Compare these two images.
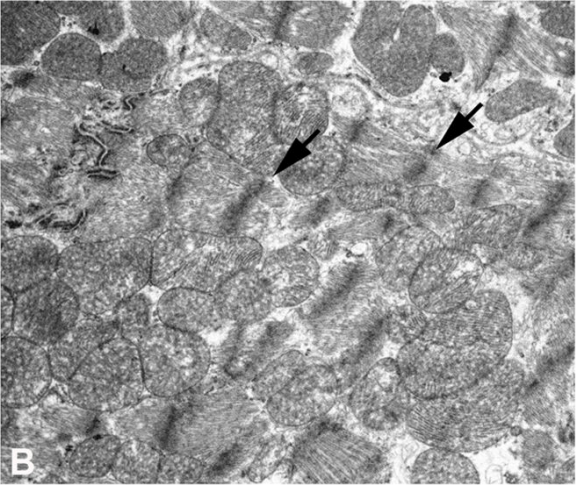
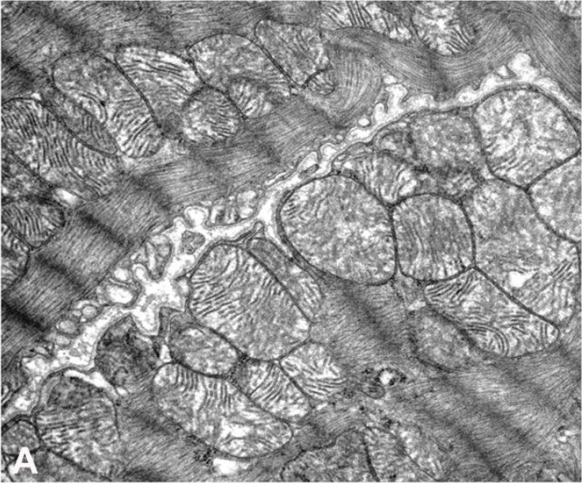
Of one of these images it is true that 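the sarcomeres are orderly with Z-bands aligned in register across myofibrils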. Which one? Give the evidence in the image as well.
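The second image. First image: short dark Z-bands lie scattered among masses of mitochondria, without continuous aligned myofibrils. Second image: myofibrils show regular repeating bands, with dark Z-lines aligned across neighbouring myofibrils.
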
